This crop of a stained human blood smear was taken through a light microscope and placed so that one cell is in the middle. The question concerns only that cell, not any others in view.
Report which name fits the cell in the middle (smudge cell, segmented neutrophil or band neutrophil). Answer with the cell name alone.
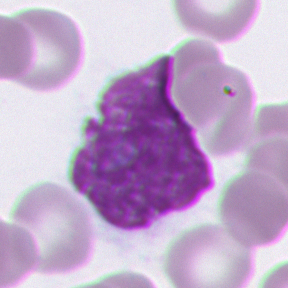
smudge cell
